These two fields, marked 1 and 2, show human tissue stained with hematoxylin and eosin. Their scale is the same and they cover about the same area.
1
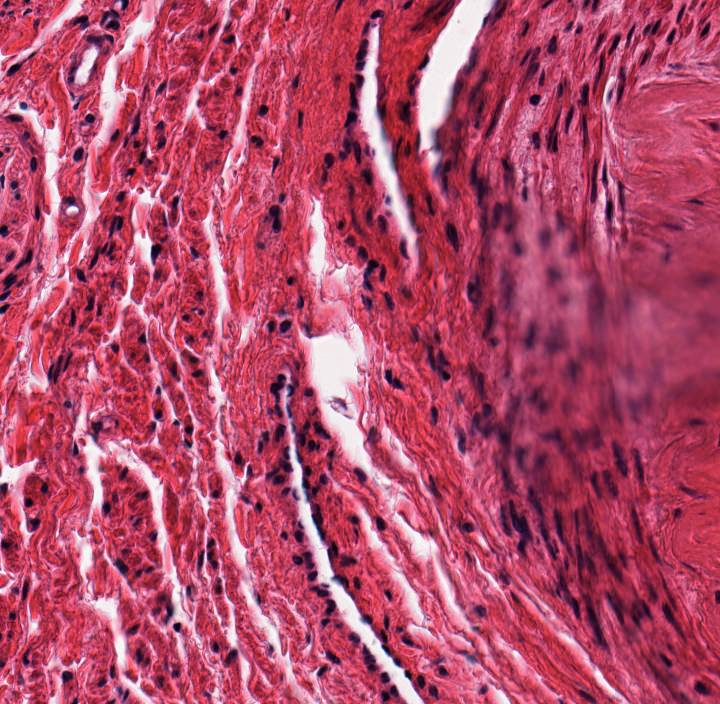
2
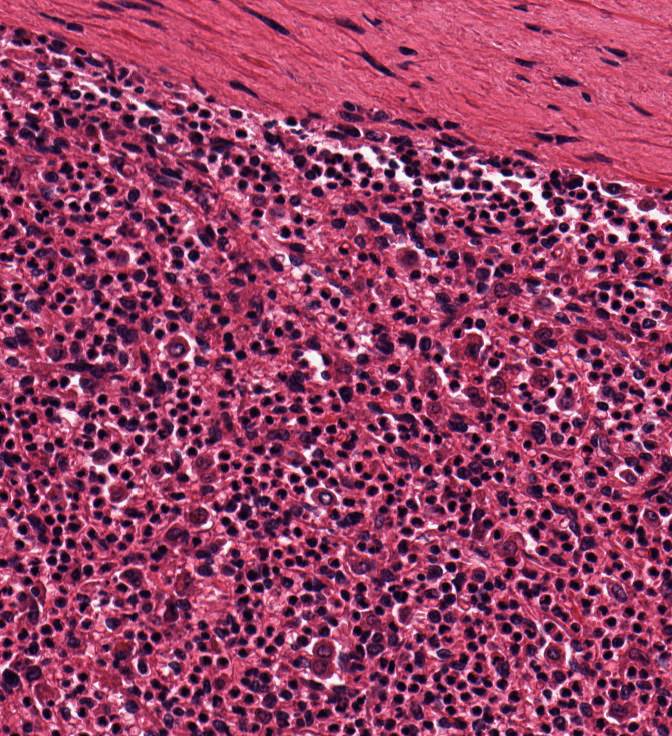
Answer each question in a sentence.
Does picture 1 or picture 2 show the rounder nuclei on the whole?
The nuclei are rounder in picture 2.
